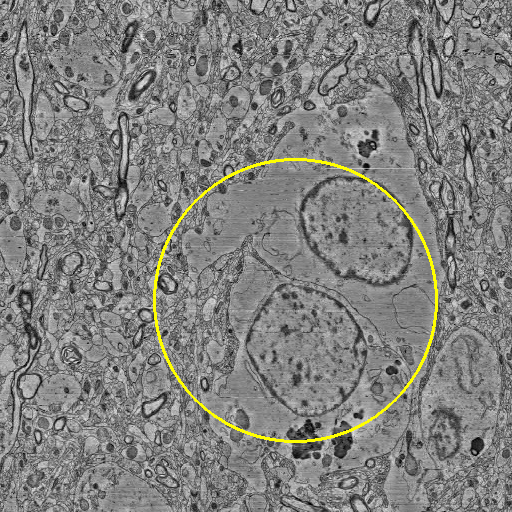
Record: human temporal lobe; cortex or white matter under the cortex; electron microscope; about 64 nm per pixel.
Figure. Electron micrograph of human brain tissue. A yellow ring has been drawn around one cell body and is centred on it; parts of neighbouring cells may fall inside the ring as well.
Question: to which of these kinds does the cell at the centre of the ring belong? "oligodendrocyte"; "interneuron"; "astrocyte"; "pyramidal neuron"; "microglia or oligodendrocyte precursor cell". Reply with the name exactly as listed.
astrocyte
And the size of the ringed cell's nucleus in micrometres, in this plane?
In this plane, roughly 9 by 7 micrometres.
